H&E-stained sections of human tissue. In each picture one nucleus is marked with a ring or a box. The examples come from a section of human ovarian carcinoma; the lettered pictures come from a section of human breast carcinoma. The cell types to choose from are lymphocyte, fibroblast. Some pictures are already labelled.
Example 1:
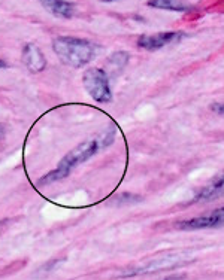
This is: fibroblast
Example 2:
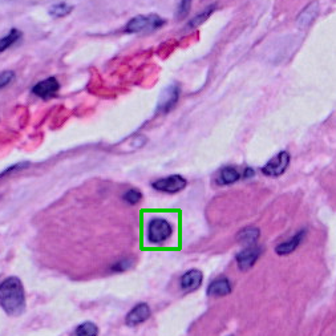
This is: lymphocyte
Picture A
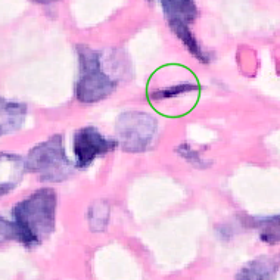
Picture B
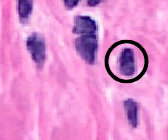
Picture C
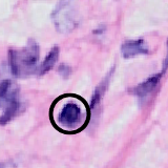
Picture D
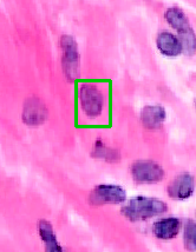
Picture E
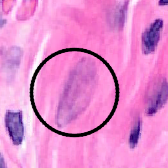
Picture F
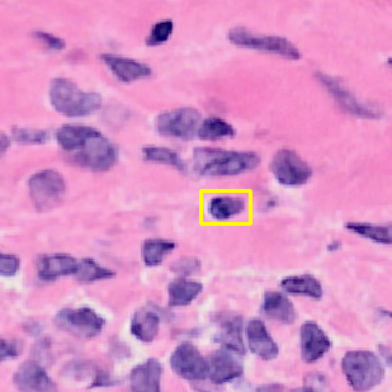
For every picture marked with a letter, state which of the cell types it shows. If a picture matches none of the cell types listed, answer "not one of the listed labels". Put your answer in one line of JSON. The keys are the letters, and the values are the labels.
{"A": "fibroblast", "B": "lymphocyte", "C": "lymphocyte", "D": "lymphocyte", "E": "fibroblast", "F": "lymphocyte"}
